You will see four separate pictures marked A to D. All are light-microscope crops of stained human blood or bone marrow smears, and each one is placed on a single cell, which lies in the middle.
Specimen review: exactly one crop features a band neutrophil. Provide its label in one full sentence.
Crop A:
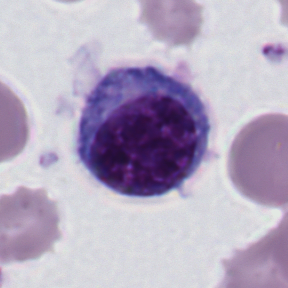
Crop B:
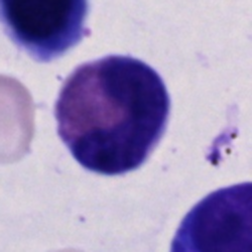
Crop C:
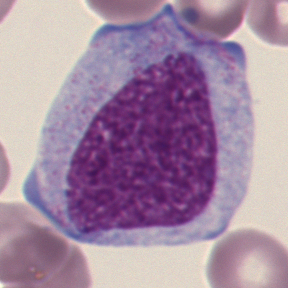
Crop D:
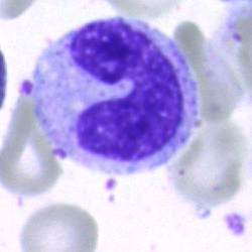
Crop D is the one that shows a band neutrophil.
